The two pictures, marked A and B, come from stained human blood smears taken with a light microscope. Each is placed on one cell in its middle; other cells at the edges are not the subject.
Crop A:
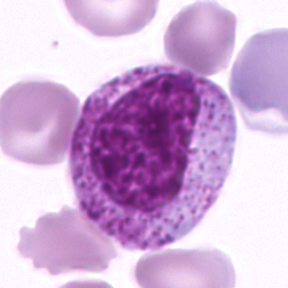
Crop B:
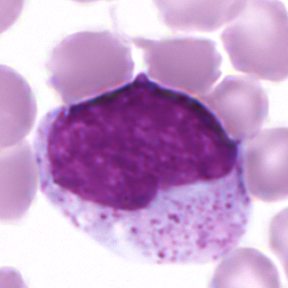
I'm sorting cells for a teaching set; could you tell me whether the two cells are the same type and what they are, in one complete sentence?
Yes, the centre cells of both crops are myelocytes.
